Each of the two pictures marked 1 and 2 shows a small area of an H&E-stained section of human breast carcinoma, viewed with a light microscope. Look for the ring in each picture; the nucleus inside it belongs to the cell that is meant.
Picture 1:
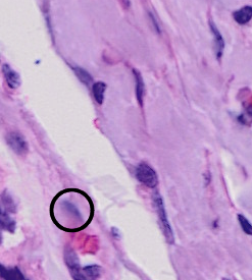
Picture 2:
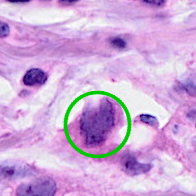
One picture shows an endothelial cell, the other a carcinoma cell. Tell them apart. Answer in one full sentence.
It is picture 1 that shows an endothelial cell, and picture 2 that shows a carcinoma cell.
